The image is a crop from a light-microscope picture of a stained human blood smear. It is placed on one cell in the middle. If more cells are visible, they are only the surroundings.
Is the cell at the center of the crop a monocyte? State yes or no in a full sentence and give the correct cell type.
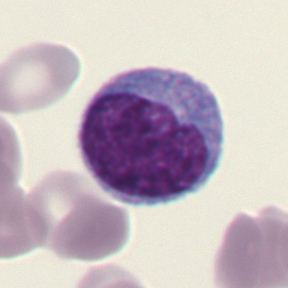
Yes, the cell at the heart of the crop is a monocyte.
